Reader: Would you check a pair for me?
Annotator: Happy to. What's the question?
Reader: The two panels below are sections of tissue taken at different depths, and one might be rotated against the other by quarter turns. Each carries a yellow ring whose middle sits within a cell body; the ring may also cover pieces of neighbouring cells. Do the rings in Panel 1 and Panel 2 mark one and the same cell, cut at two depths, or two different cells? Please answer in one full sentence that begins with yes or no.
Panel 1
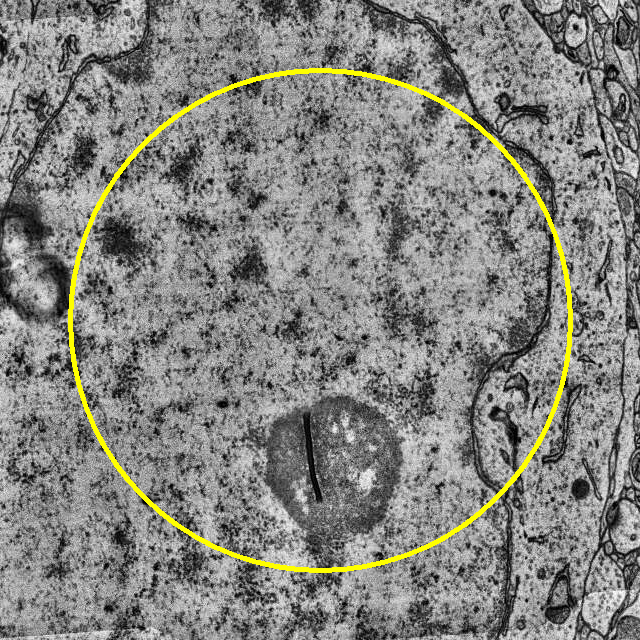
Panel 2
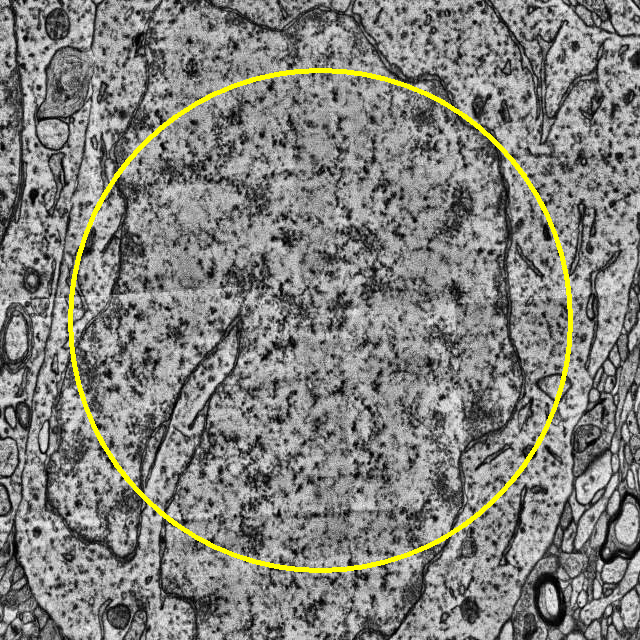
Yes, the same cell appears within both yellow rings.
